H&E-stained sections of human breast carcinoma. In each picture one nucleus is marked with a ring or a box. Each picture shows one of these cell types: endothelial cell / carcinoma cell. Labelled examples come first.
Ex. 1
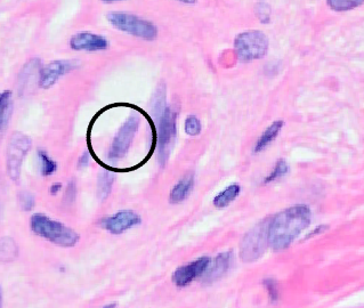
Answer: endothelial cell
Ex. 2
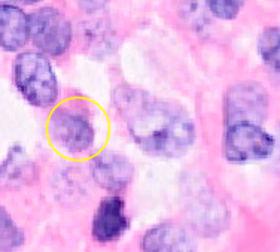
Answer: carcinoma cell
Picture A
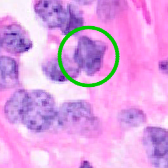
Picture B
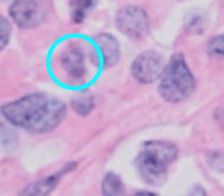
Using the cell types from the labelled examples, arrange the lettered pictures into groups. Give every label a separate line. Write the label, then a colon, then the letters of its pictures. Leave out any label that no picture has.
carcinoma cell: A, B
